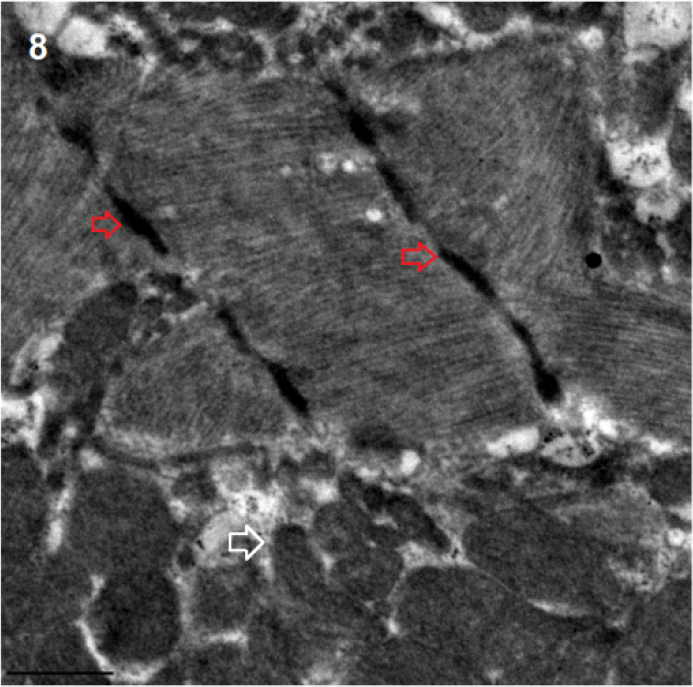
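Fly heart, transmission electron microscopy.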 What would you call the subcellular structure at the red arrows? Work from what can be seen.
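Dark, dense lines cross the bundles of filaments obliquely. Filaments run between successive dark lines.
Answer: Z line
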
